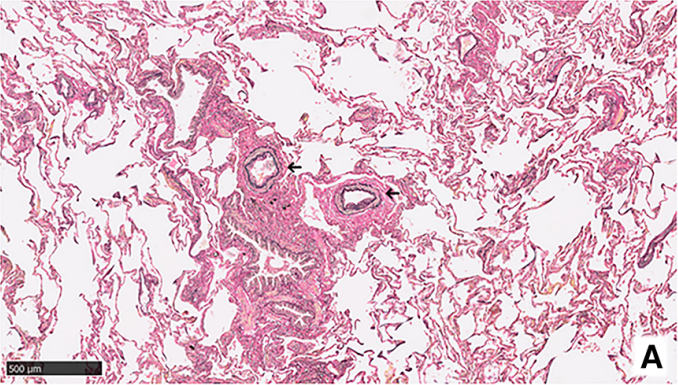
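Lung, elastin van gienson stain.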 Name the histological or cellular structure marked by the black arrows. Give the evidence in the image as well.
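Two small round vessels with thick walls and dark elastic outlines lie where the arrows point. They sit in a band of denser tissue beside an airway. The surrounding lung is a fine lacework of thin alveolar walls.
Answer: muscular arteries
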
